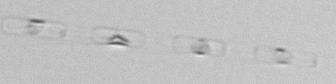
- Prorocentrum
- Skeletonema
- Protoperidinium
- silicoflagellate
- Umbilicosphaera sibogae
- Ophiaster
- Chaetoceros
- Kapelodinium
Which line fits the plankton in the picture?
Skeletonema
